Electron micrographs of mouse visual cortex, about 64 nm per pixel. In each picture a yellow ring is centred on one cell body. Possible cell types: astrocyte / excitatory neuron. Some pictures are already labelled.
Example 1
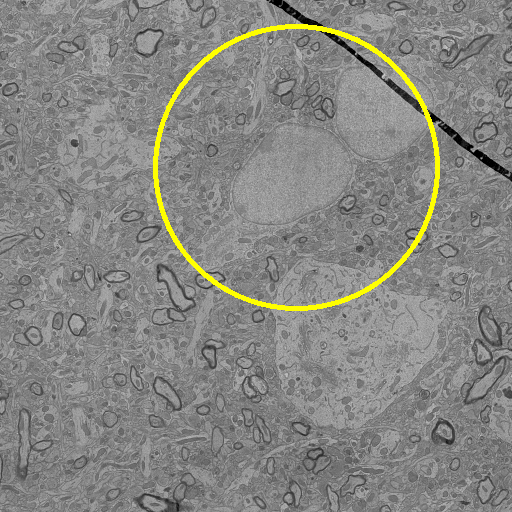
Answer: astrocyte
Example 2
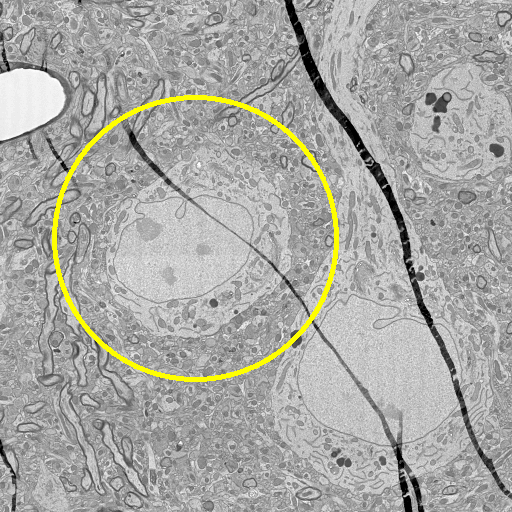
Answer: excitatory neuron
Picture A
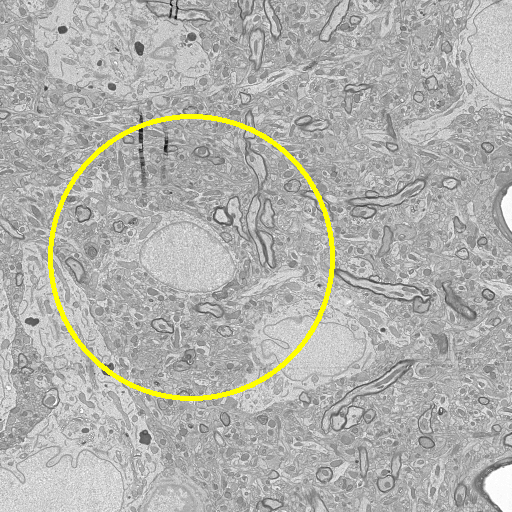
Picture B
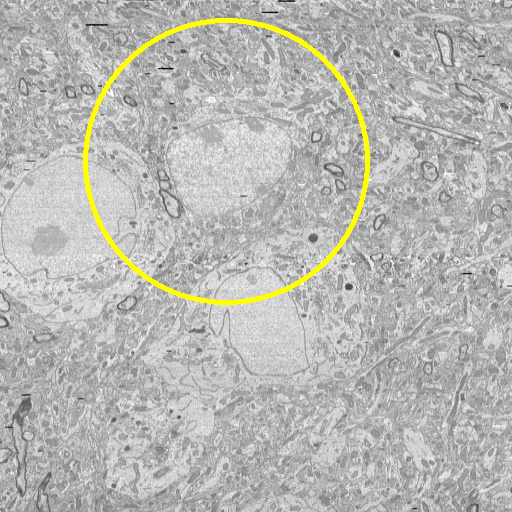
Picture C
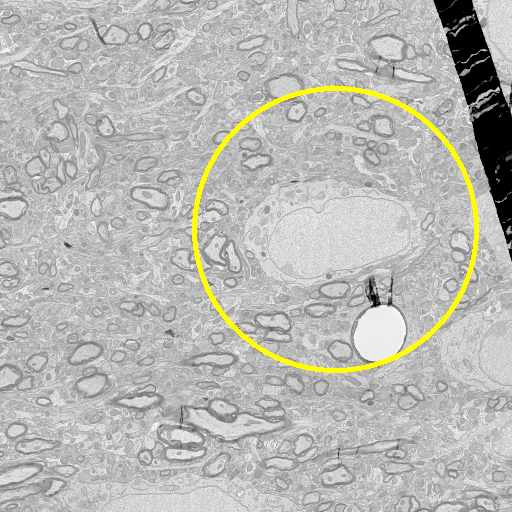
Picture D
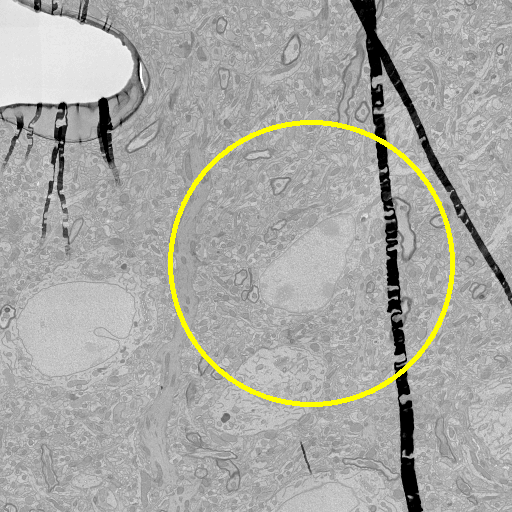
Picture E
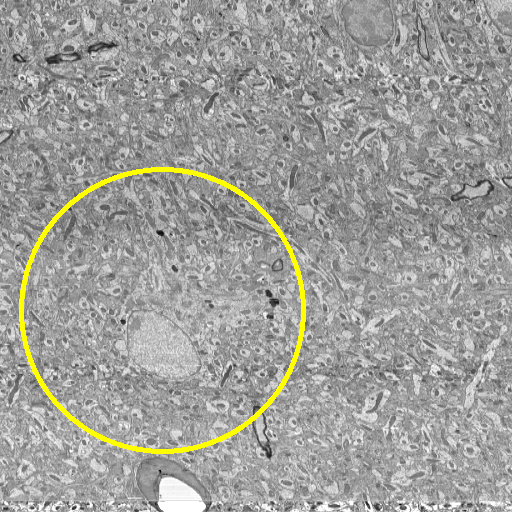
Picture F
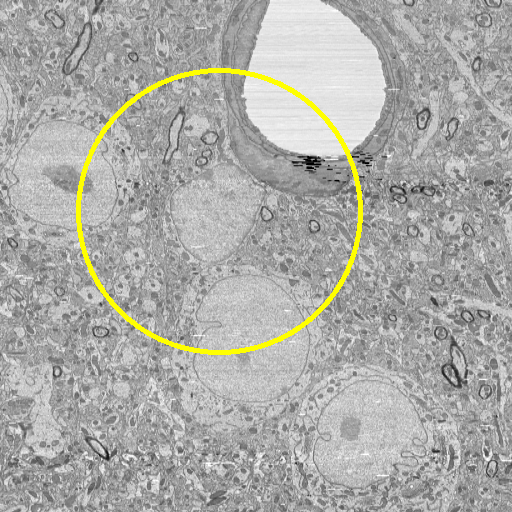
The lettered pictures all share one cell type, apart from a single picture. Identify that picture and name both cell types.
Picture C: excitatory neuron. All others: astrocyte.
